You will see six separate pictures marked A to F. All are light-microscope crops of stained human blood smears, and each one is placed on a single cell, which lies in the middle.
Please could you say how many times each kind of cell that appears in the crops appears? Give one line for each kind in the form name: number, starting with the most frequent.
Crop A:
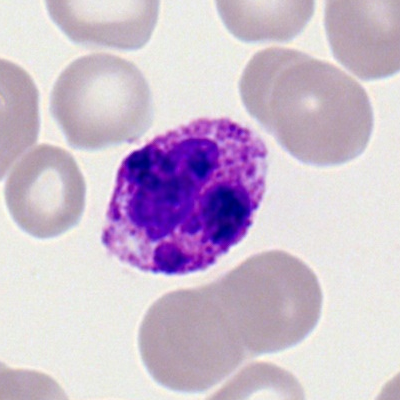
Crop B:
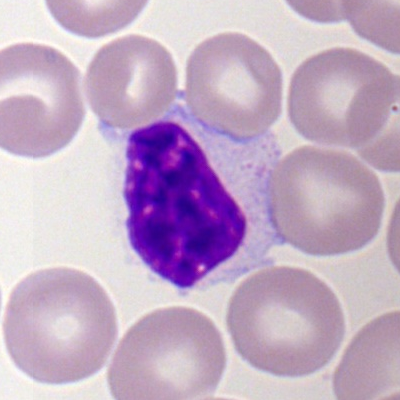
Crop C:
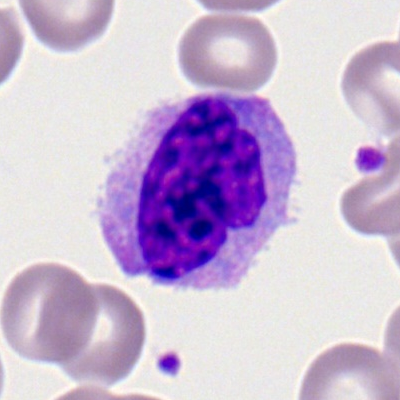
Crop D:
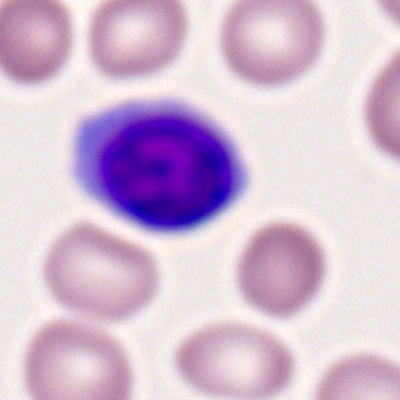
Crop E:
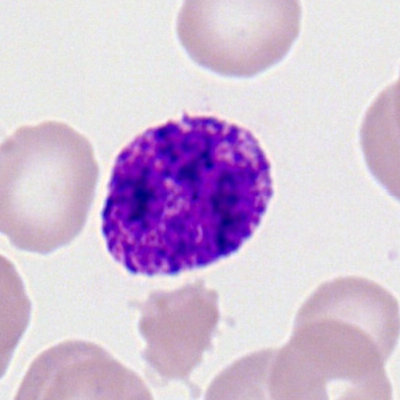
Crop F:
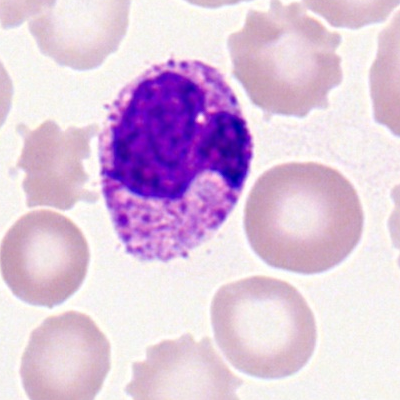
basophil: 3
lymphocyte: 2
monocyte: 1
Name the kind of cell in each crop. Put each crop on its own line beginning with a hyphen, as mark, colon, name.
- A: basophil
- B: lymphocyte
- C: monocyte
- D: lymphocyte
- E: basophil
- F: basophil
